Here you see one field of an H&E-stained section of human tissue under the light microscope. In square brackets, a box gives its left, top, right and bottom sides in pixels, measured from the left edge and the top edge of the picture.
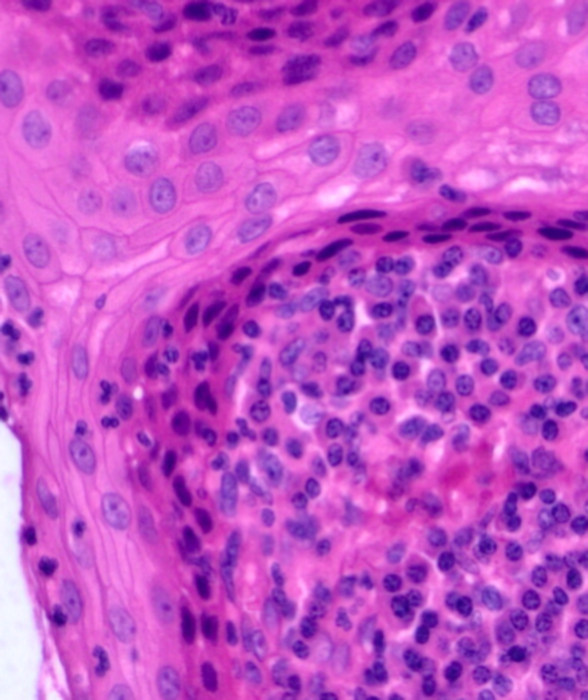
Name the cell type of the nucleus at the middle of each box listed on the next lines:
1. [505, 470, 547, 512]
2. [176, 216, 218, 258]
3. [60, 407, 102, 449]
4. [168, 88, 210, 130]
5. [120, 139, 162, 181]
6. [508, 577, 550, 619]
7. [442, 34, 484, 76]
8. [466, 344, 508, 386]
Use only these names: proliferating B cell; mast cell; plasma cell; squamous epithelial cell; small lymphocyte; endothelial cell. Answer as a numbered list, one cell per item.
1. plasma cell
2. squamous epithelial cell
3. squamous epithelial cell
4. squamous epithelial cell
5. squamous epithelial cell
6. plasma cell
7. squamous epithelial cell
8. plasma cell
